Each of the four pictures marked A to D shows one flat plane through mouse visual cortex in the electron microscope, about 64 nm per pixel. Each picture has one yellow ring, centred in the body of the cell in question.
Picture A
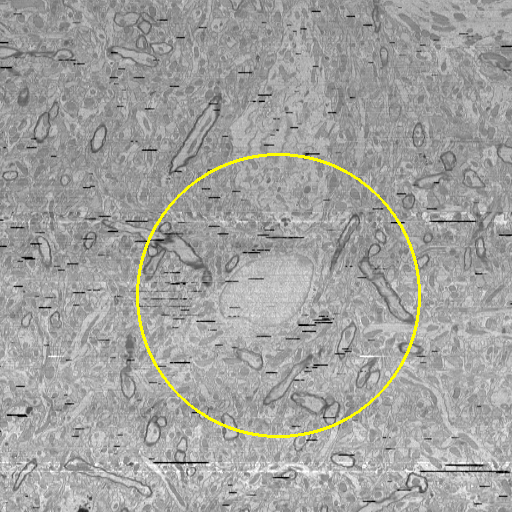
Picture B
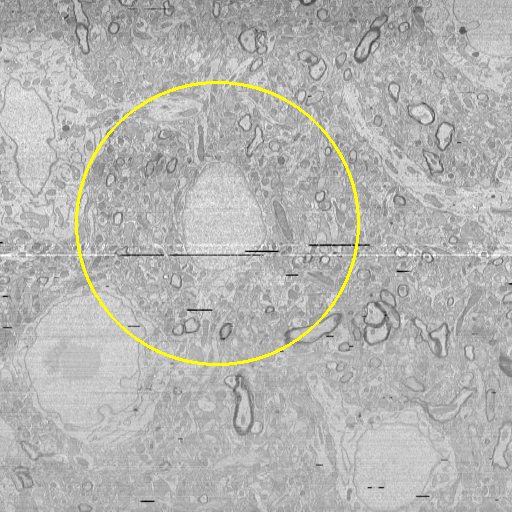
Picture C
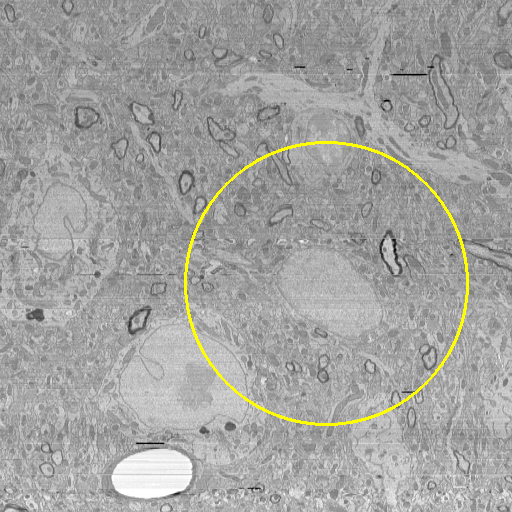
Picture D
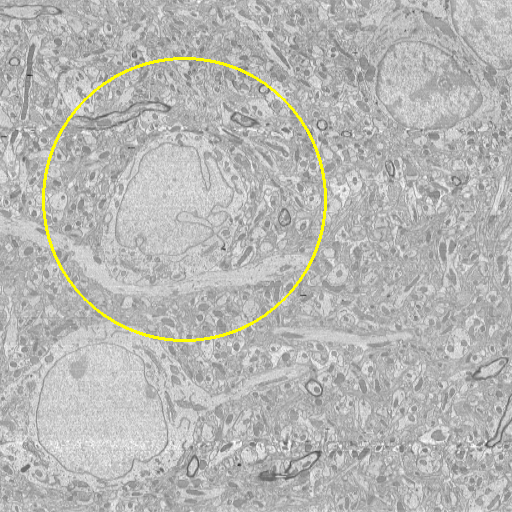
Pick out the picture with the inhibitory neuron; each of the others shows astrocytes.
The cell in picture D is the inhibitory neuron.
